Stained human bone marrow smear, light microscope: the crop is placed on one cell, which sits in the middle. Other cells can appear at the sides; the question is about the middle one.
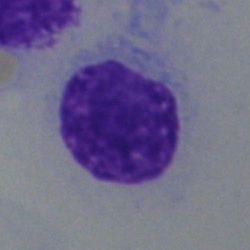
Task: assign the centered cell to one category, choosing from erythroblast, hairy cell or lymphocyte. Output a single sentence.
The cell that lies at the centre of the crop is a hairy cell.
